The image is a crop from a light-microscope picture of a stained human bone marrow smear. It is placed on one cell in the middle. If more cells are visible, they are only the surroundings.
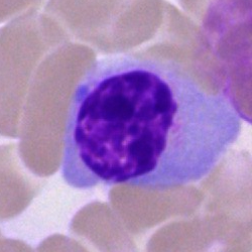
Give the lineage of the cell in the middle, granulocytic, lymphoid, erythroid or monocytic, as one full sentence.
Included in the erythroid lineage is the cell at the middle of the crop.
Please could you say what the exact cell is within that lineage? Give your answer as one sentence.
Positioned in the middle of the crop is an erythroblast.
